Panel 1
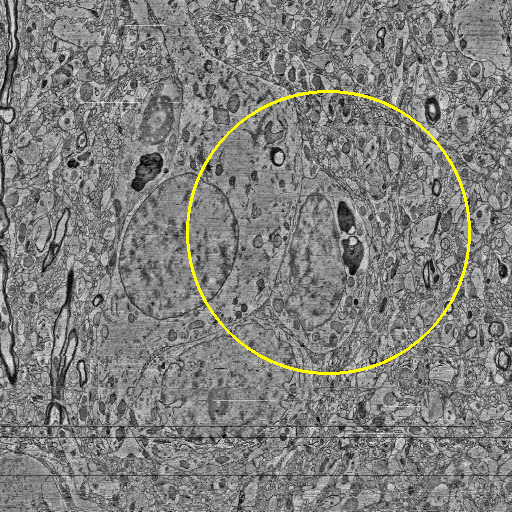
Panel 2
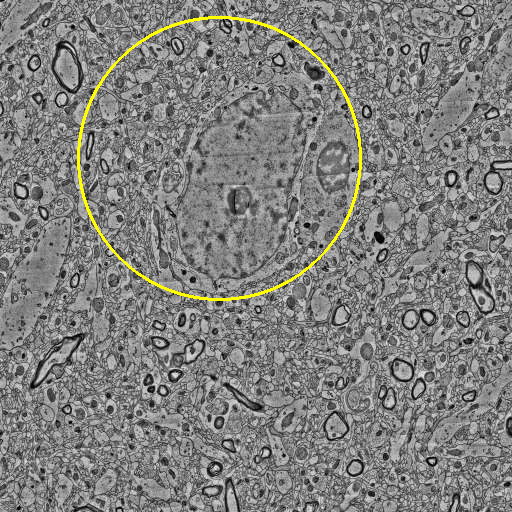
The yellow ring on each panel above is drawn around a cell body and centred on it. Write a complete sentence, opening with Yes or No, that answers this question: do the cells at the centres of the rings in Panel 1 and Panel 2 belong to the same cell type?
Yes, both cells belong to the same cell type.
